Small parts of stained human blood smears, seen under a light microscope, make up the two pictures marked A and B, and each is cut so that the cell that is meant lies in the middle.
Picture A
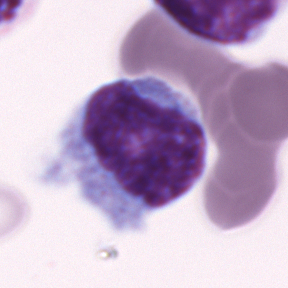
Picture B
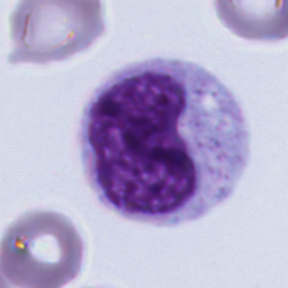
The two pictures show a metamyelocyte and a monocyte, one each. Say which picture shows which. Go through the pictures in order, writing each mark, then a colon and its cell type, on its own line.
A: monocyte
B: metamyelocyte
